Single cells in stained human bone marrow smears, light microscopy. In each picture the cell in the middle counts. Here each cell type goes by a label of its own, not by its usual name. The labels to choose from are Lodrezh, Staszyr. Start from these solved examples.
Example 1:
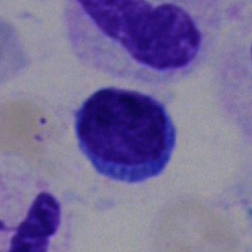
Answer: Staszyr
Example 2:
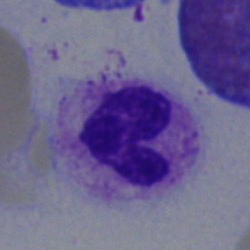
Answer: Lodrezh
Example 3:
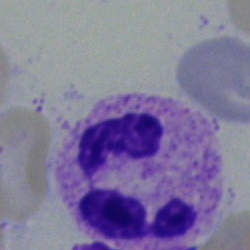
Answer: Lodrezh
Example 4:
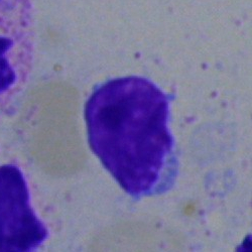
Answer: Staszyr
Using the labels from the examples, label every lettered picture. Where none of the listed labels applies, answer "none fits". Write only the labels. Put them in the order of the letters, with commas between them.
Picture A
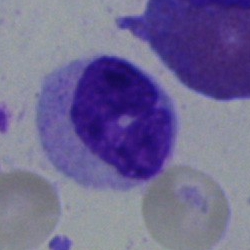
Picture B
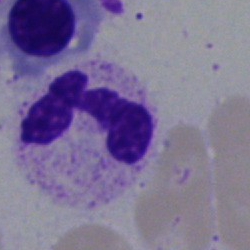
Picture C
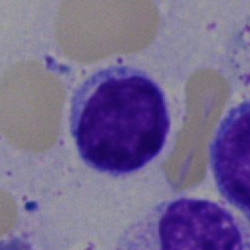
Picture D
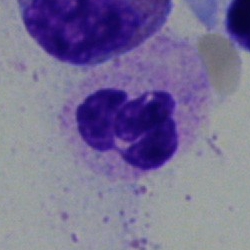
none fits, Lodrezh, Staszyr, Lodrezh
